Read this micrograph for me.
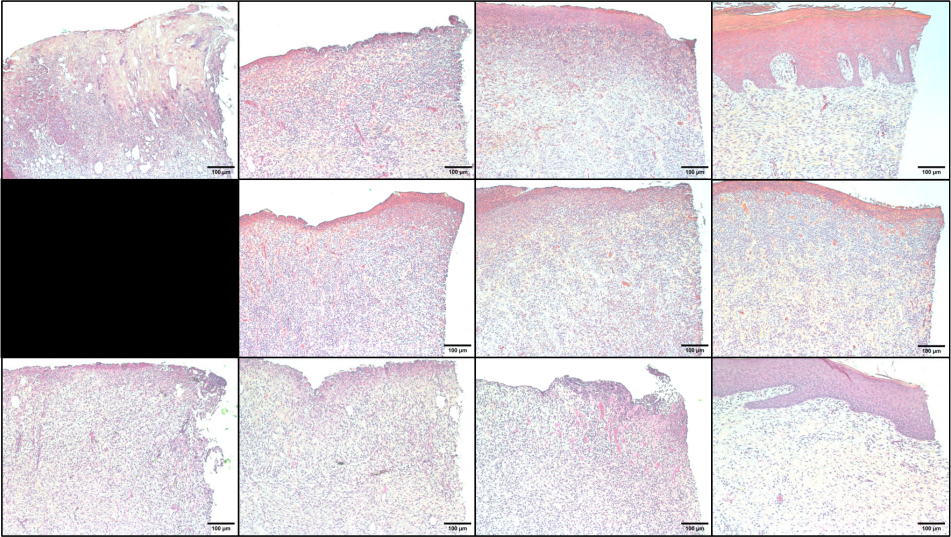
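The underlying tissue is filled with closely packed purple nuclei. In several images the surface layer is thin and irregular or partly missing. In one image it is thick and sends downward projections into the tissue beneath.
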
